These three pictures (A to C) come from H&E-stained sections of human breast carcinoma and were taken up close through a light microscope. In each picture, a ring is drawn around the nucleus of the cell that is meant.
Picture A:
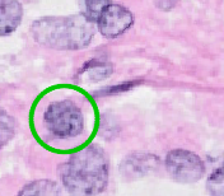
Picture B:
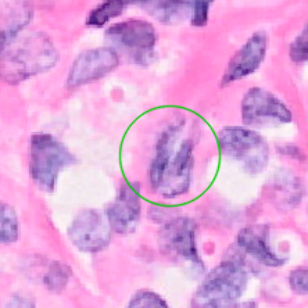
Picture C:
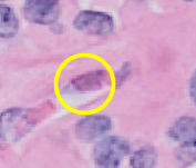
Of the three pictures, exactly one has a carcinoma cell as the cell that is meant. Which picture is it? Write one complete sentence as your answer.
It is picture A that shows the carcinoma cell.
